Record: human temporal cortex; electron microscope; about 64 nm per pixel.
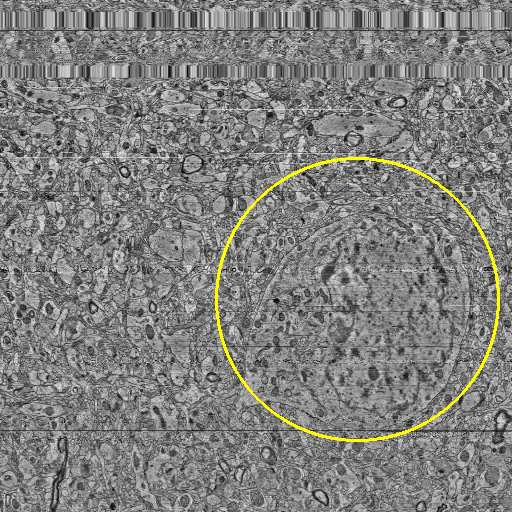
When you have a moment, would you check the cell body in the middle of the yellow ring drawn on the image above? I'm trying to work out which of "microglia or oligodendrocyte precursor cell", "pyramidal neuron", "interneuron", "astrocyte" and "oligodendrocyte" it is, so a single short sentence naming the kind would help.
This cell body belongs to an interneuron.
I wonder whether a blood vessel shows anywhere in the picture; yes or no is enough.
No, no blood vessel shows in the picture.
